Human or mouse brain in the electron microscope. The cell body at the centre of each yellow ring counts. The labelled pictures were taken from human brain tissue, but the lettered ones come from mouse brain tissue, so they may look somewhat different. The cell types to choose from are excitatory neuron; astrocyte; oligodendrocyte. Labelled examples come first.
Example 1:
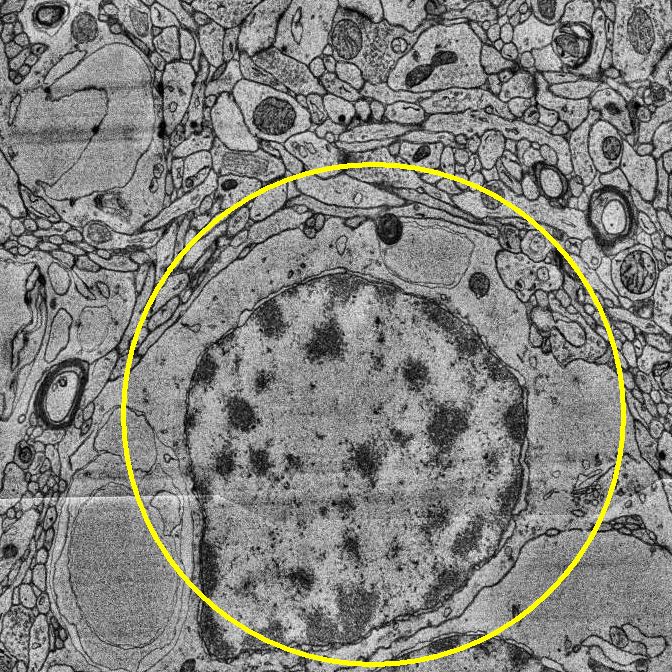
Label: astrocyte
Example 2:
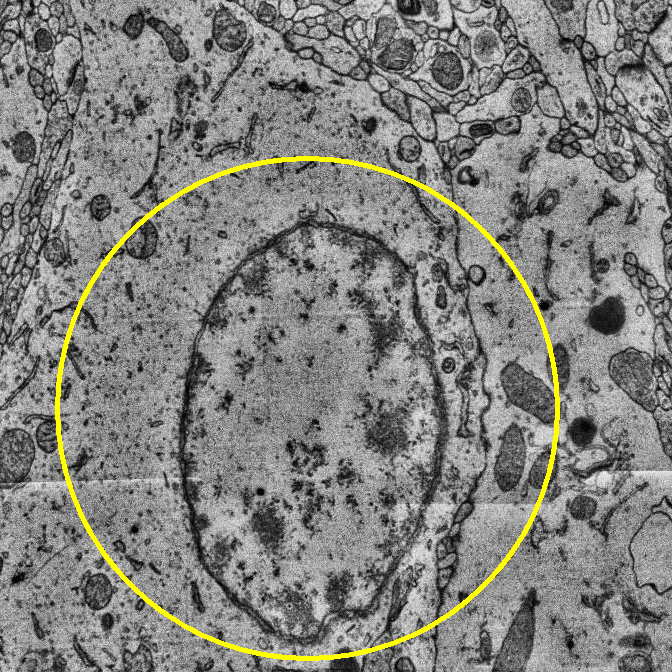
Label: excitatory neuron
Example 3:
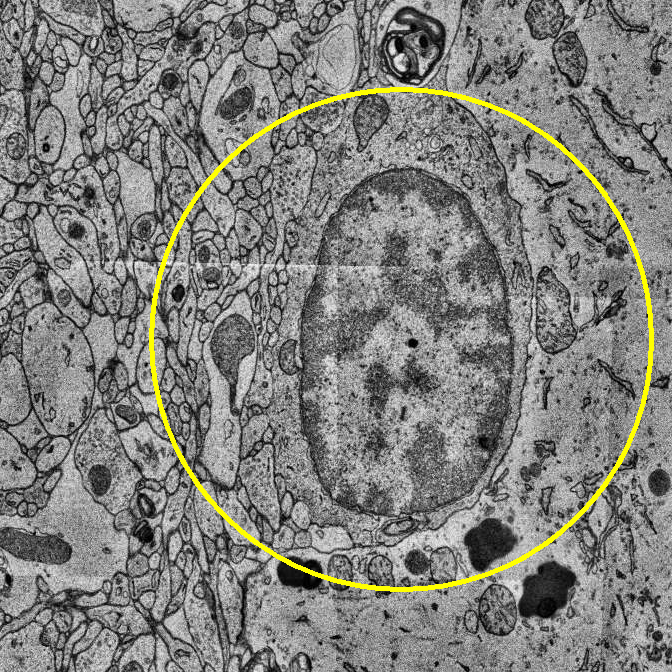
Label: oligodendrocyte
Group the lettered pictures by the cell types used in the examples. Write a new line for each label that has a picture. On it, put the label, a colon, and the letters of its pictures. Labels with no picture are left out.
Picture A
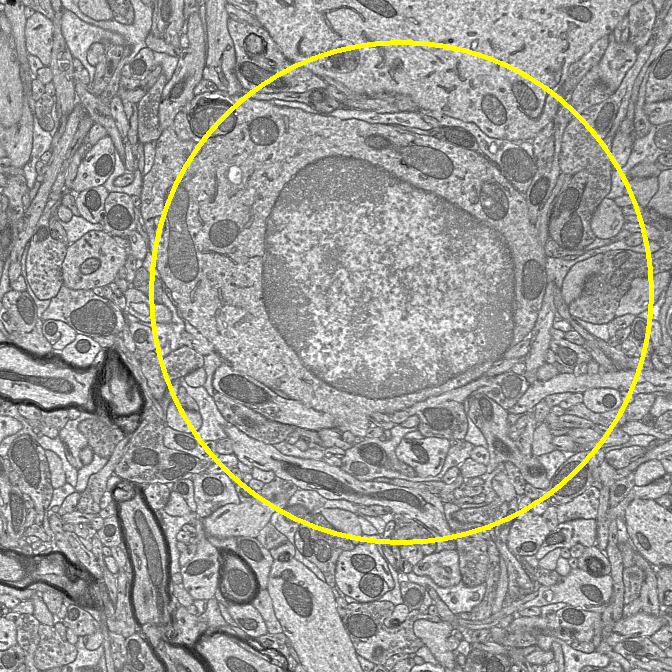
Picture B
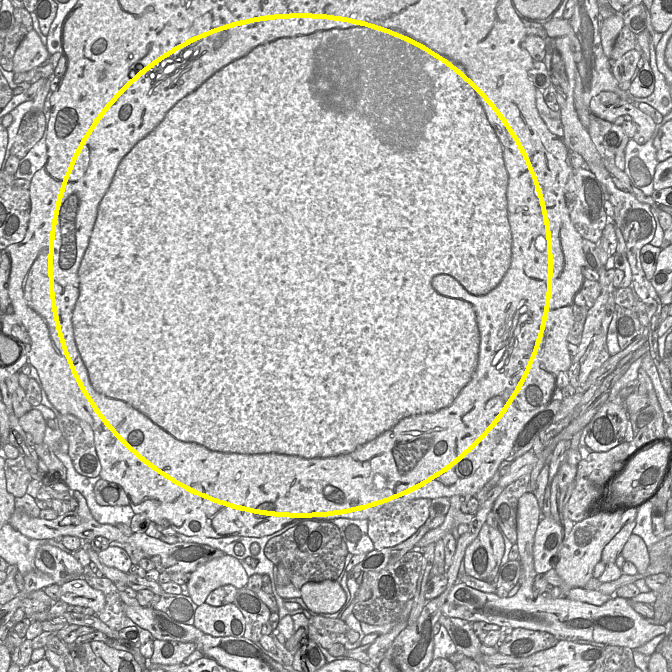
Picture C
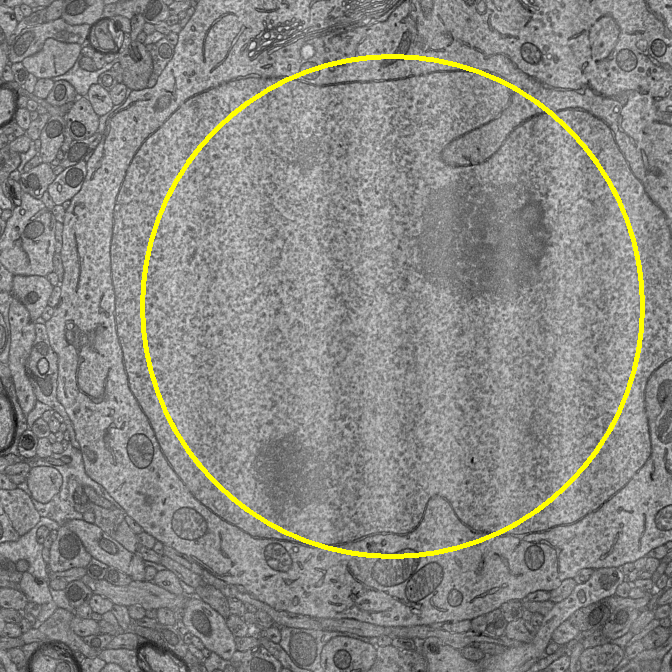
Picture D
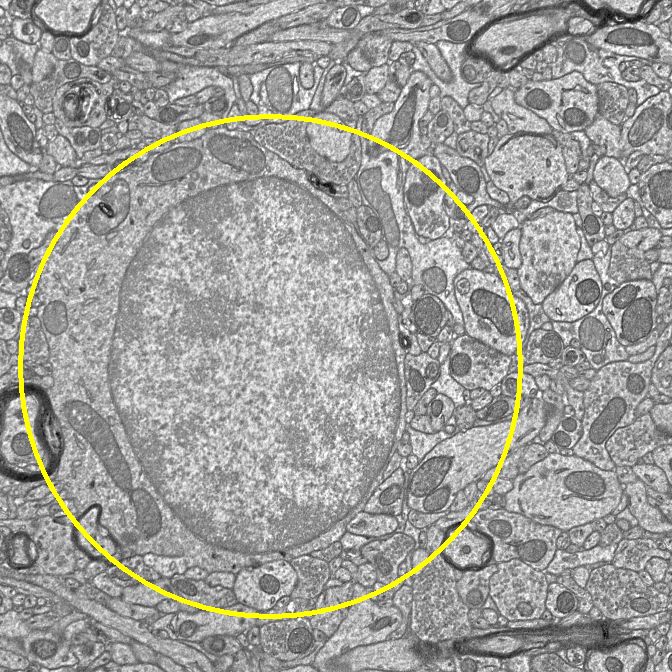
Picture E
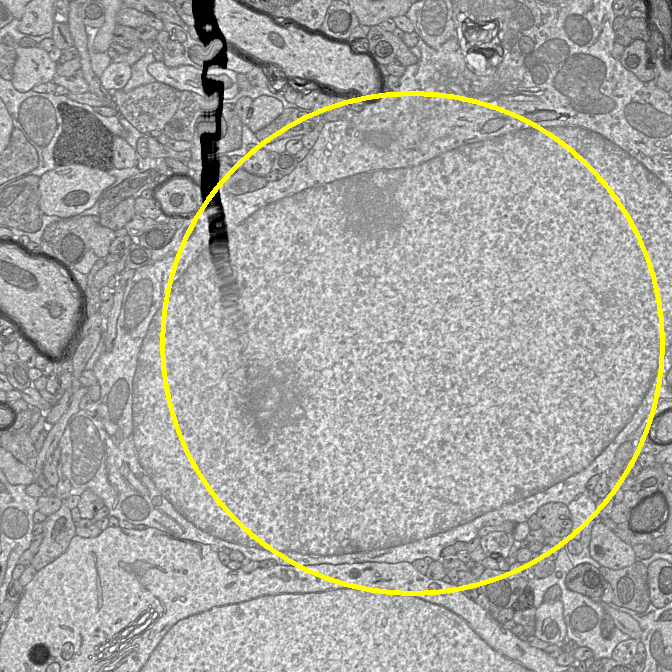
excitatory neuron: B, C
astrocyte: E
oligodendrocyte: A, D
